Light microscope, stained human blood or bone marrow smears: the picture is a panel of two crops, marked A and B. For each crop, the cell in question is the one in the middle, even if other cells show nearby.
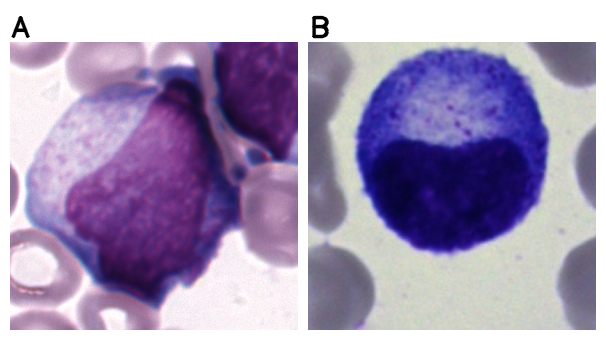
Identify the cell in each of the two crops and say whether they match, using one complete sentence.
Yes, the two crops show promyelocytes at their centres.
